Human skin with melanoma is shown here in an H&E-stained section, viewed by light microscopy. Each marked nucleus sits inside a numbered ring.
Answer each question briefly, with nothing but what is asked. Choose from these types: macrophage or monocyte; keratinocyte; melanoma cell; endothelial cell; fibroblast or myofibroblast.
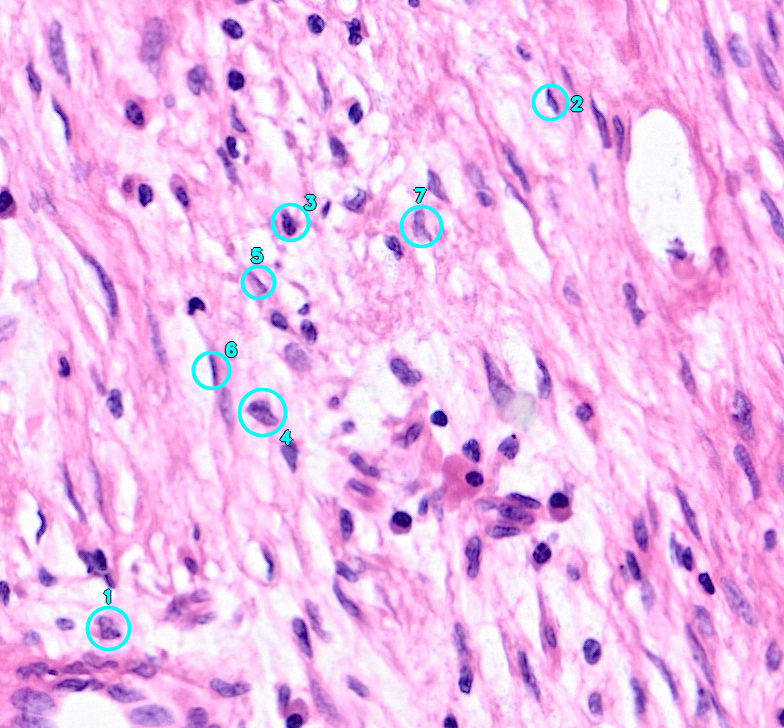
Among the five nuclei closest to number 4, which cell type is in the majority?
fibroblast or myofibroblast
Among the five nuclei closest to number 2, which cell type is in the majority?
fibroblast or myofibroblast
